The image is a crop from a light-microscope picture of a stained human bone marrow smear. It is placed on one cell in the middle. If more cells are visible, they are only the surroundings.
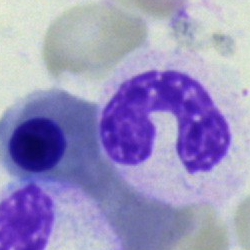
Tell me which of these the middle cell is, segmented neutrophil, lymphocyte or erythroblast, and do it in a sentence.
In this smear crop, the middle cell is a segmented neutrophil.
